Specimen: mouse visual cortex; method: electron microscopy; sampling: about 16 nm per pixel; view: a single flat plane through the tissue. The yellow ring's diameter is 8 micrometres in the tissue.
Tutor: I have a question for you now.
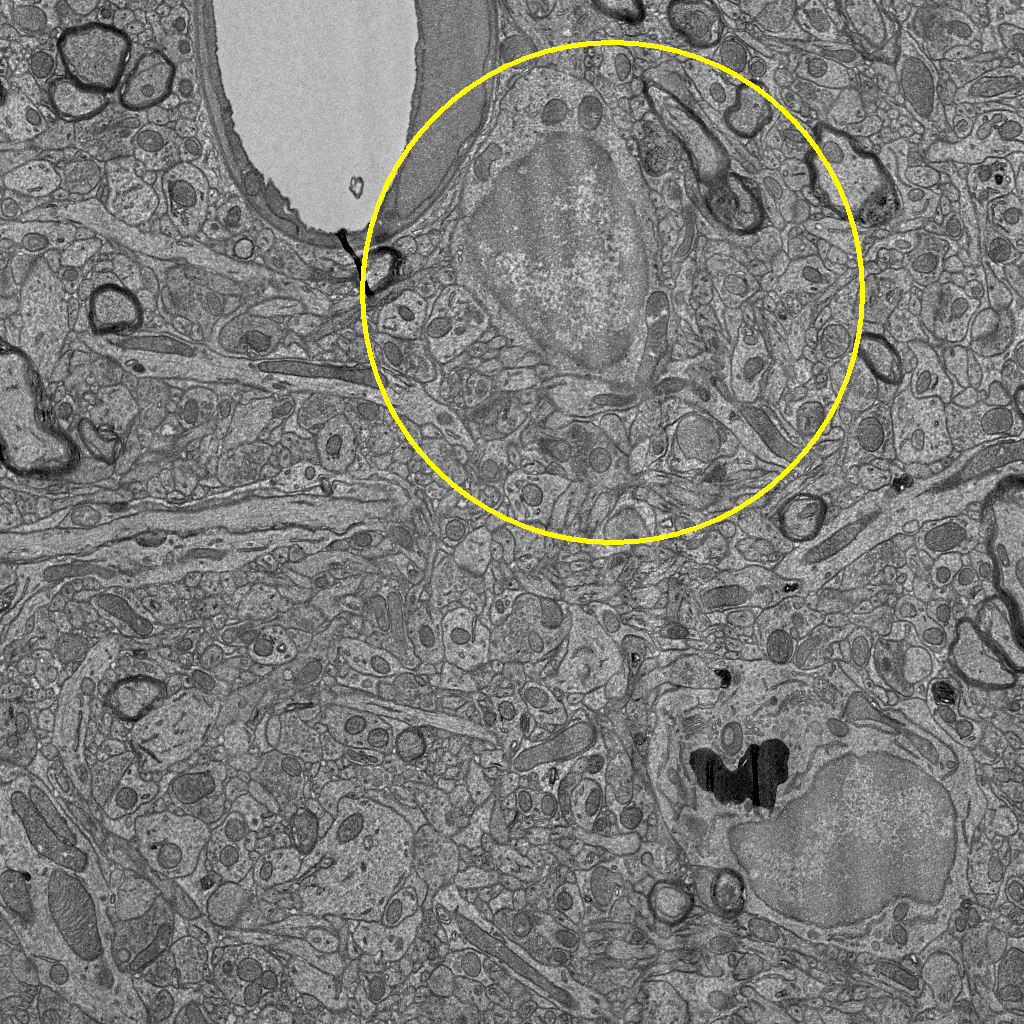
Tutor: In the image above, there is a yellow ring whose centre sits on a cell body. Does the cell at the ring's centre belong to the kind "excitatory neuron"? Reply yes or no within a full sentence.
No, the cell at the centre of the ring belongs to another kind.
